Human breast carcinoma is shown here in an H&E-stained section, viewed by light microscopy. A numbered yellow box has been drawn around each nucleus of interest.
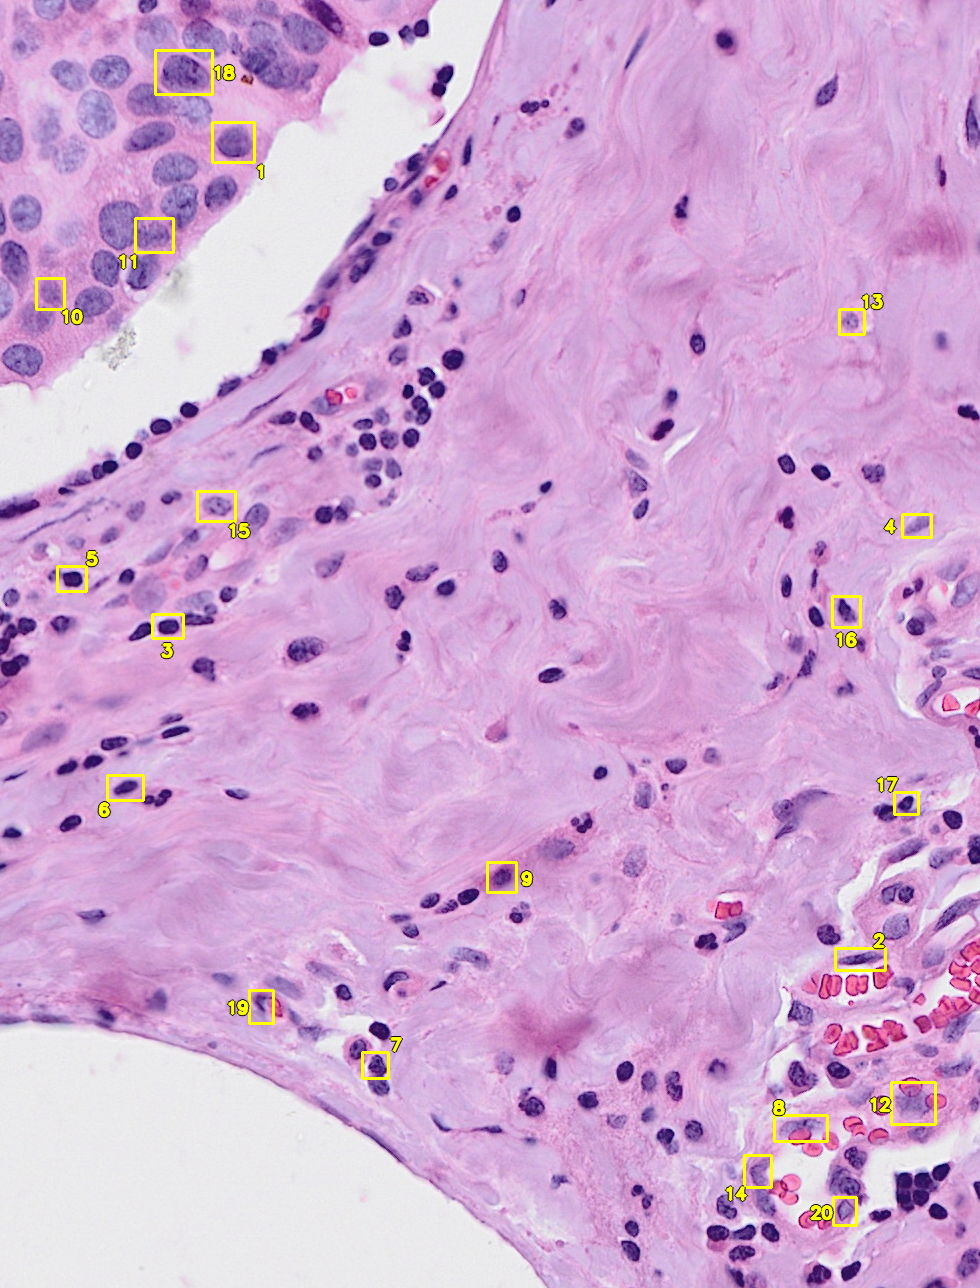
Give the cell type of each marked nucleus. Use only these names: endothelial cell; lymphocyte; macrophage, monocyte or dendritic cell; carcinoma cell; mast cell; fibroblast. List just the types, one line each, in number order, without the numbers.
carcinoma cell
endothelial cell
lymphocyte
fibroblast
lymphocyte
lymphocyte
lymphocyte
endothelial cell
mast cell
carcinoma cell
carcinoma cell
endothelial cell
mast cell
endothelial cell
mast cell
lymphocyte
lymphocyte
carcinoma cell
endothelial cell
endothelial cell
